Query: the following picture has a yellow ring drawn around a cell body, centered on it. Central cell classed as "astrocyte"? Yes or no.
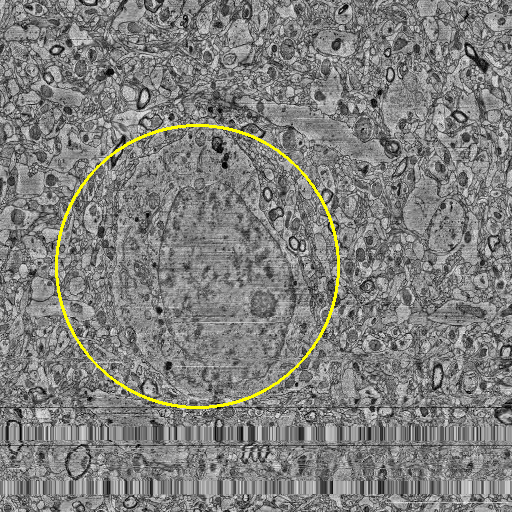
no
